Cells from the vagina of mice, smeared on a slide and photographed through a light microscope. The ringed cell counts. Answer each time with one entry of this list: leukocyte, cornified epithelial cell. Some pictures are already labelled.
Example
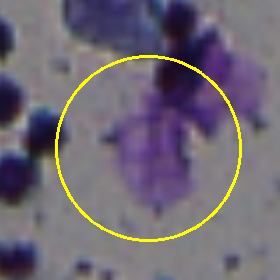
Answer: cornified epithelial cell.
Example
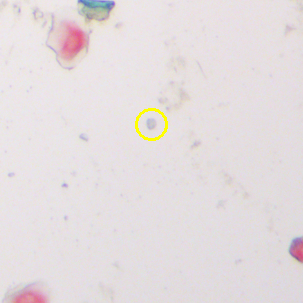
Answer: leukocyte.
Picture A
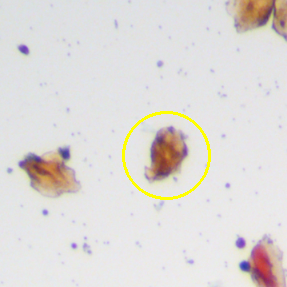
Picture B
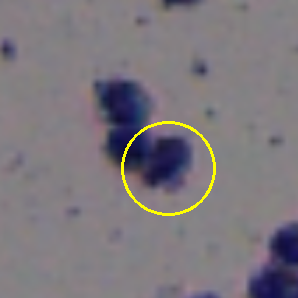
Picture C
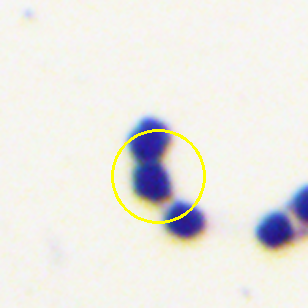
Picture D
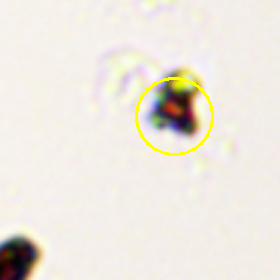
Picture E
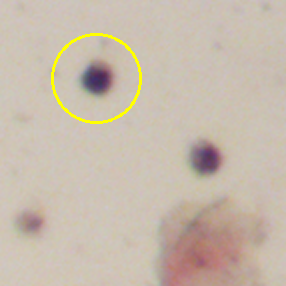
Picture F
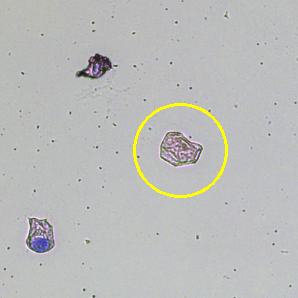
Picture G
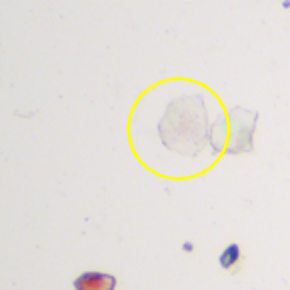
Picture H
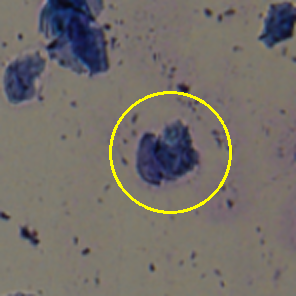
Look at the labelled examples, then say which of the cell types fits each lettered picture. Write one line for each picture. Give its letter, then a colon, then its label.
A: cornified epithelial cell.
B: leukocyte.
C: leukocyte.
D: leukocyte.
E: leukocyte.
F: cornified epithelial cell.
G: cornified epithelial cell.
H: cornified epithelial cell.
